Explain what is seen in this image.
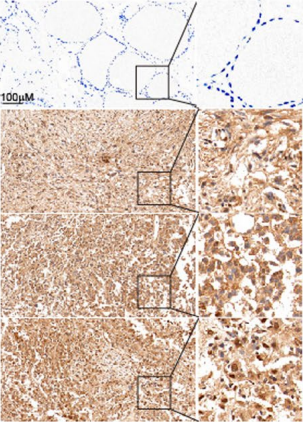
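The top row shows thyroid tissue built of large round follicles: empty-looking spaces each ringed by a thin line of small cells whose nuclei are stained blue, with almost no brown colour anywhere. The tissue is a dense, solid sheet of cells. In the enlarged views at the right, the tumour cells vary in size and outline, with scattered small clear gaps between them. This is quite unlike the orderly single layer of flat cells lining the normal follicles.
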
